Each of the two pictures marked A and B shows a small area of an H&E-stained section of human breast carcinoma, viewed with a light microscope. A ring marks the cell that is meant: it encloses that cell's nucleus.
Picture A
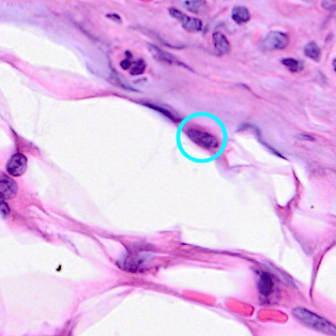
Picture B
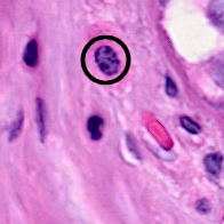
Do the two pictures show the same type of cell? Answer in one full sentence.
Yes; the cells in both pictures are mast cells.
